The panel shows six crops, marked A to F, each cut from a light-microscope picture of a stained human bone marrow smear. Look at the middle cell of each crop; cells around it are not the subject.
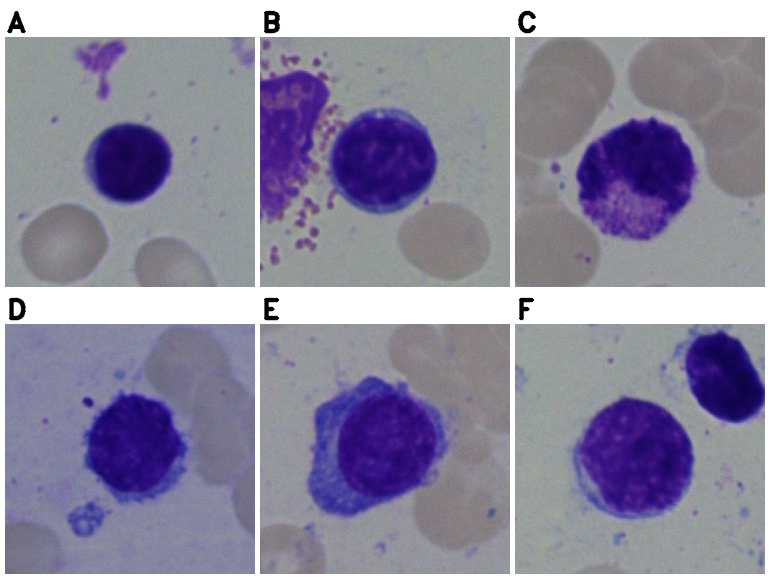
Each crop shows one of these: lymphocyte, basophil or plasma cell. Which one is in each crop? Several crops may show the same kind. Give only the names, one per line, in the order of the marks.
lymphocyte
lymphocyte
basophil
lymphocyte
plasma cell
lymphocyte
